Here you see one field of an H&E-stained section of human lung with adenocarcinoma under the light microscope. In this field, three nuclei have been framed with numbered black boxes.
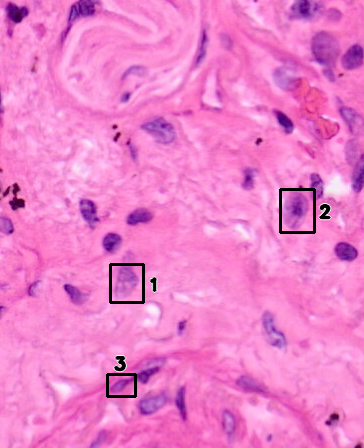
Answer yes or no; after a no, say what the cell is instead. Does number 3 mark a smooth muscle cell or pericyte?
Yes.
